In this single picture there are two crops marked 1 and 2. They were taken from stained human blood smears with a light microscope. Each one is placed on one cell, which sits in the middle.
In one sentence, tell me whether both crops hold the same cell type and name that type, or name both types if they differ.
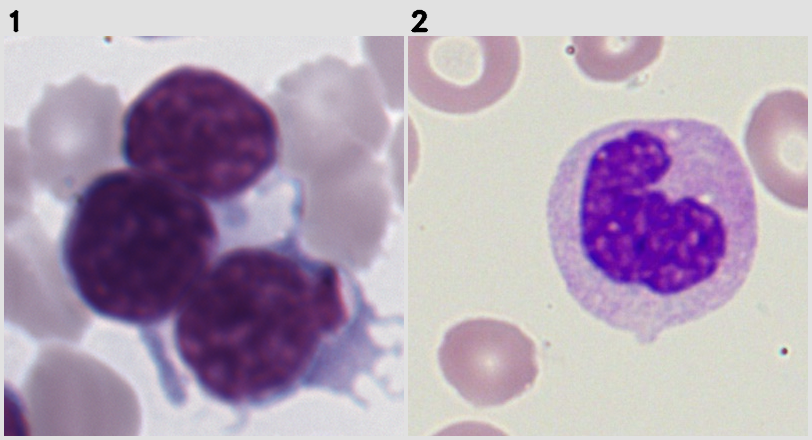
No, crop 1 represents a blast, and crop 2 represents a monocyte.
